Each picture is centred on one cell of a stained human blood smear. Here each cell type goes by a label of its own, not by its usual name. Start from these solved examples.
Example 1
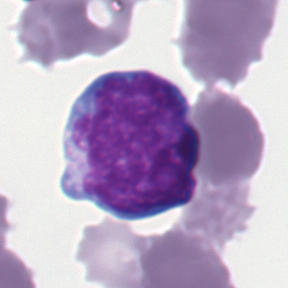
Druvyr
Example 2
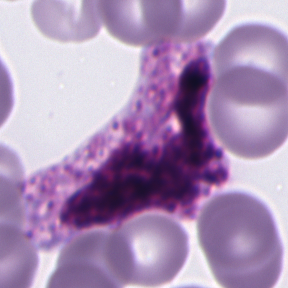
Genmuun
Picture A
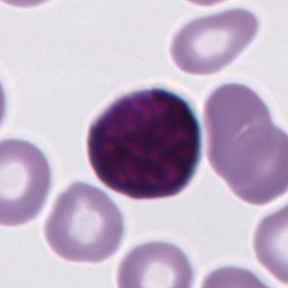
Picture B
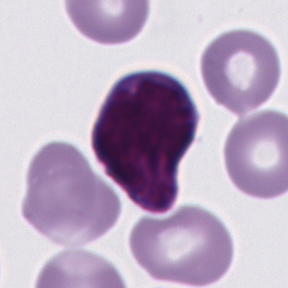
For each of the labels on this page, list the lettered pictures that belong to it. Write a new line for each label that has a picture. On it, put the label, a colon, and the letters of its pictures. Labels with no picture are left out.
Druvyr: A, B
